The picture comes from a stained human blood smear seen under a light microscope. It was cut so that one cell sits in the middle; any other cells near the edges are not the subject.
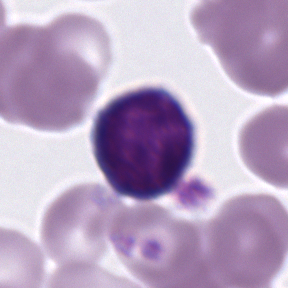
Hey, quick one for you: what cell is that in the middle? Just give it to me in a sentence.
This crop's central cell is a typical lymphocyte.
